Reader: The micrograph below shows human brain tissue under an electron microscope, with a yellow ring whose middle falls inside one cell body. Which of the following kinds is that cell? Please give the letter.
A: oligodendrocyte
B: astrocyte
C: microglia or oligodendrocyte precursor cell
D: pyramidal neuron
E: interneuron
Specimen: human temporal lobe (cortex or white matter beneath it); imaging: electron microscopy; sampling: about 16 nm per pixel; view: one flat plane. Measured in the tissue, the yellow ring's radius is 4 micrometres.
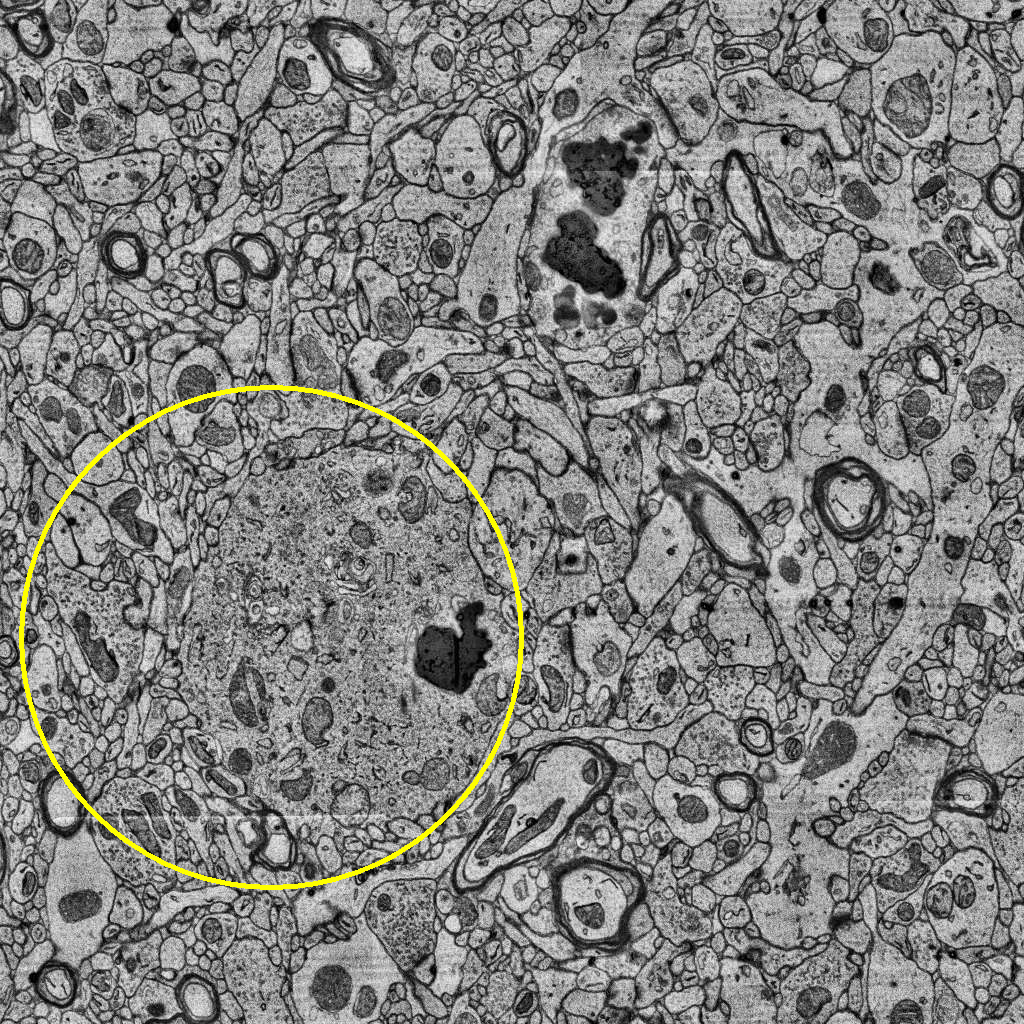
A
